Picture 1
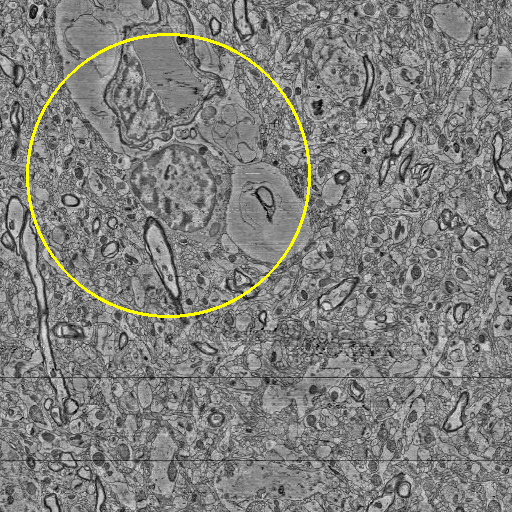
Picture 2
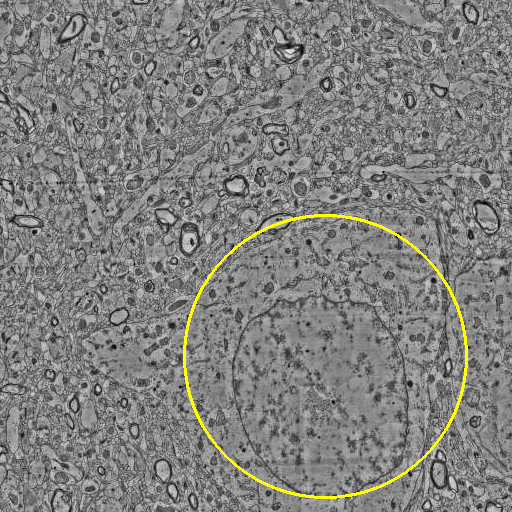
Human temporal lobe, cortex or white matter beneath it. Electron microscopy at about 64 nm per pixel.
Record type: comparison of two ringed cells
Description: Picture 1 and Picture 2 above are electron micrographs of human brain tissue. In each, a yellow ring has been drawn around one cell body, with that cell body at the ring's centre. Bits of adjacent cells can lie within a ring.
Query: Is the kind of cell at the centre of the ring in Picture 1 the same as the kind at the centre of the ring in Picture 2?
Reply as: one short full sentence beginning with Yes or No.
No, the two ringed cells are of two separate kinds.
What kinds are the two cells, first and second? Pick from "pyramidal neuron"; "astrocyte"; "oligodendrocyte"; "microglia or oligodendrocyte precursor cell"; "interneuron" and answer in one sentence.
The second picture holds a pyramidal neuron in its ring, and the first holds an oligodendrocyte.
